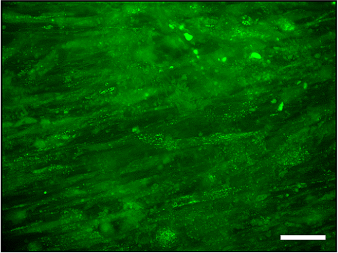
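A dense layer of cultured cells fills the field in green fluorescence, the cells elongated and spindle-shaped and lying roughly parallel to one another. Numerous small bright green dots and granules are scattered over the layer, with a few larger bright clusters. Cell borders are hard to separate because the cells overlap closely.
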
